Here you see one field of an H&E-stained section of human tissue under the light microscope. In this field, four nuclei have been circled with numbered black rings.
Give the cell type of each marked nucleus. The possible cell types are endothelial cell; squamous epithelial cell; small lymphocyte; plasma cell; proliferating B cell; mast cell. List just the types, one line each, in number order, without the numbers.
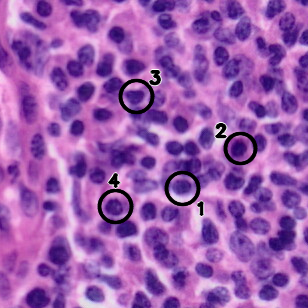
small lymphocyte
plasma cell
small lymphocyte
plasma cell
